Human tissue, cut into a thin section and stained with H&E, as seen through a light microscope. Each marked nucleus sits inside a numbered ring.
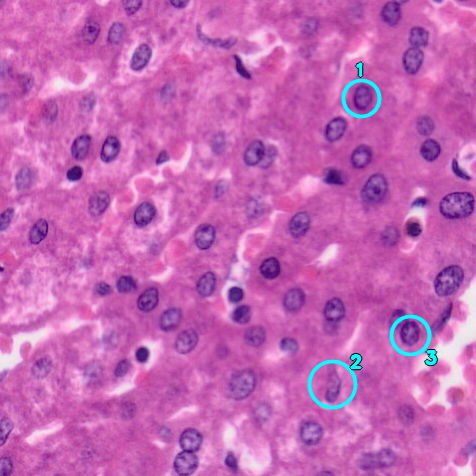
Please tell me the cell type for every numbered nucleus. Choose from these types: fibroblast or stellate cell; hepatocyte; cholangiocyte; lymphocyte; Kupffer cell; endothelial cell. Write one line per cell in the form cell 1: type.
cell 1: hepatocyte
cell 2: Kupffer cell
cell 3: hepatocyte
